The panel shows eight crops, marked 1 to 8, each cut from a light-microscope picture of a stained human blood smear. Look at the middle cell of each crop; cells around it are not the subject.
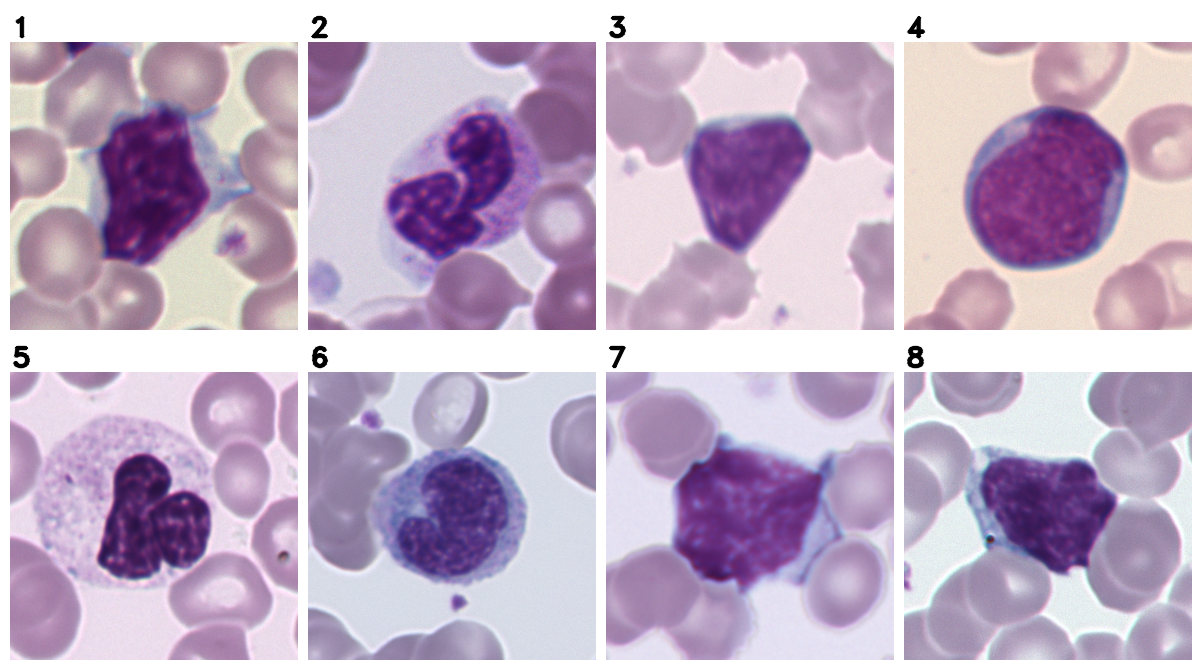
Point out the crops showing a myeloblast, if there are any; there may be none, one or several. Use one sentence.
Every crop but crop 4 lacks a myeloblast.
